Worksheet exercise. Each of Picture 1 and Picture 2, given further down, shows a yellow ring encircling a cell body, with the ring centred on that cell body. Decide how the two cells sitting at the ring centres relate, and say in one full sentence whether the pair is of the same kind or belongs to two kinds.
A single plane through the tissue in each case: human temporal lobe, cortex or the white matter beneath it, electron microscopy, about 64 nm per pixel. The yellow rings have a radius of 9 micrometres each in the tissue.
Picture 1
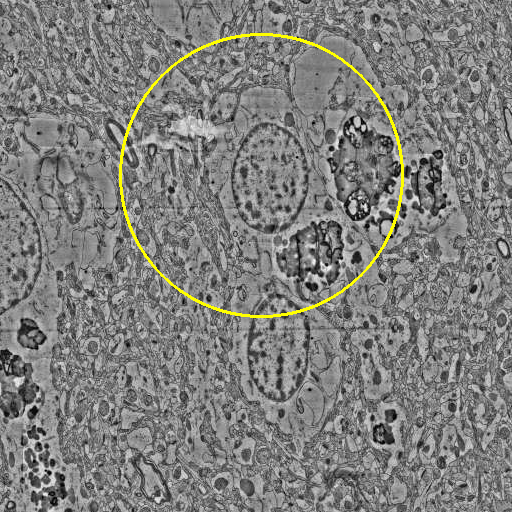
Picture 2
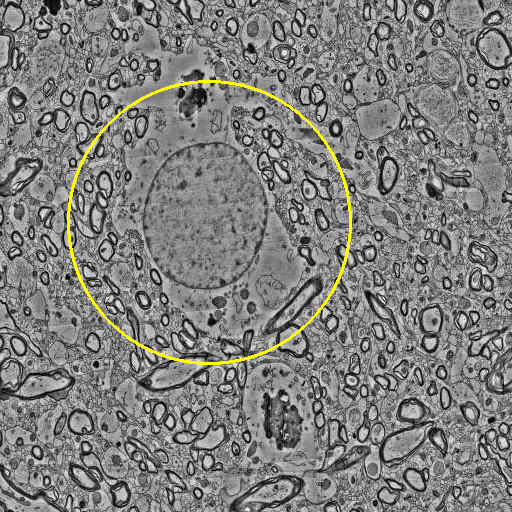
The cells at the ring centres in Picture 1 and Picture 2 are of the same kind.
